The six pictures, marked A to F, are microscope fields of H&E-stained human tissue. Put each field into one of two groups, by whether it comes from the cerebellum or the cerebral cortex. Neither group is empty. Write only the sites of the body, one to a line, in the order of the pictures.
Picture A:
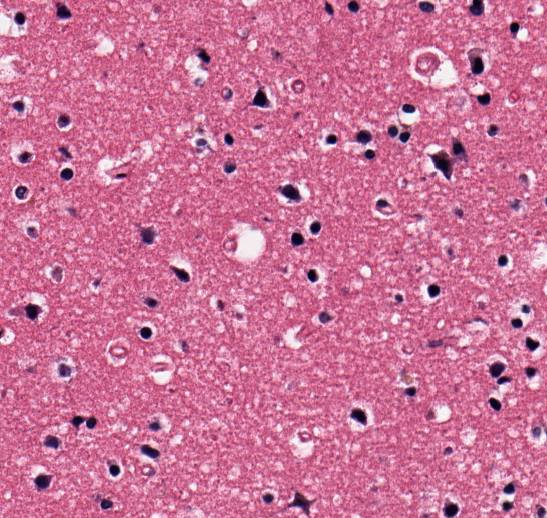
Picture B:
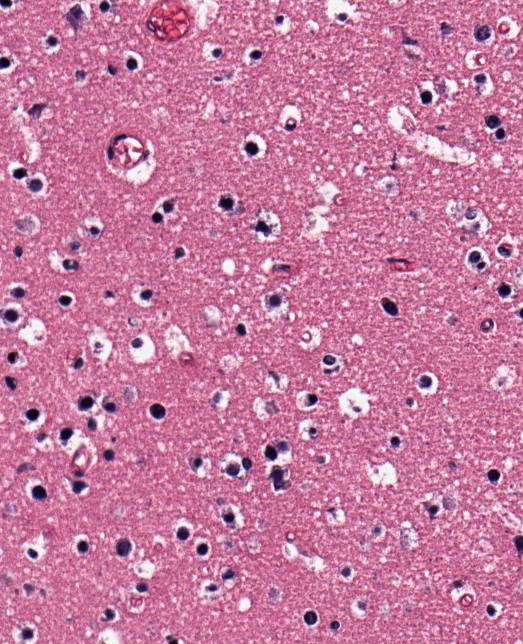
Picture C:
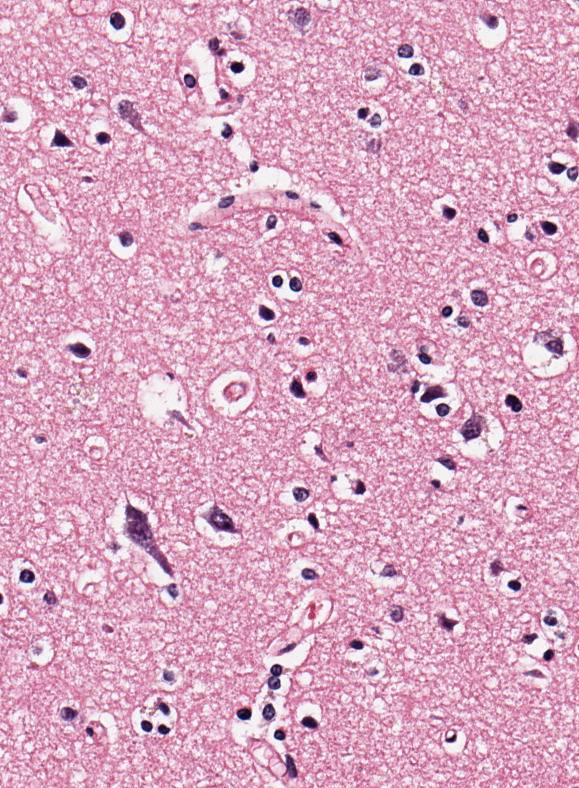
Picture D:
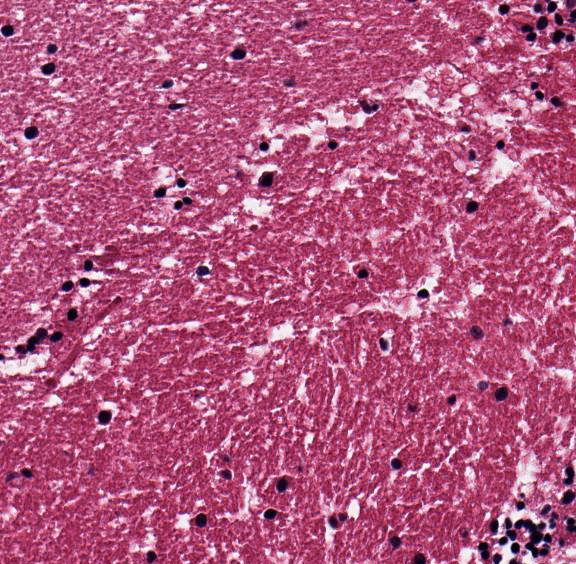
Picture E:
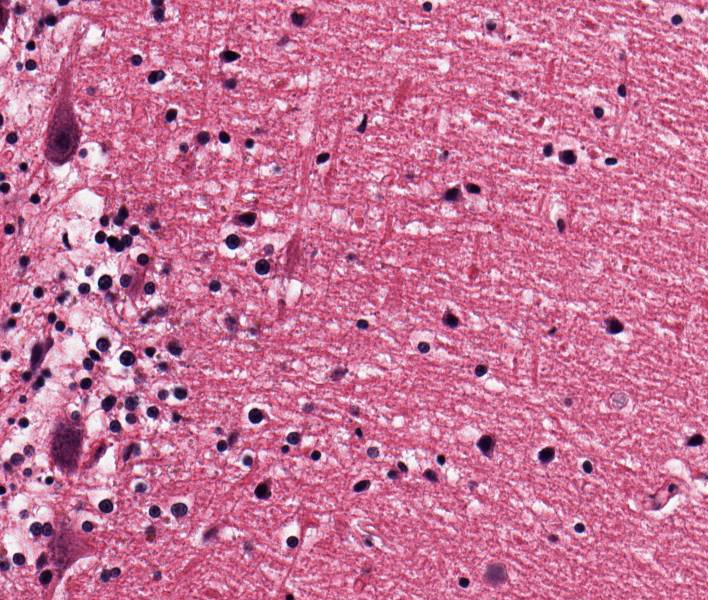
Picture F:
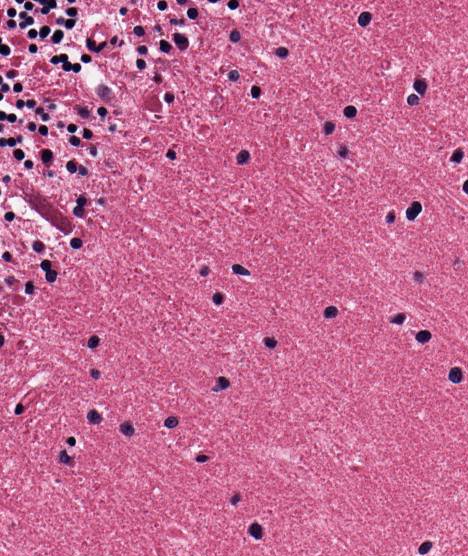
cerebral cortex
cerebral cortex
cerebral cortex
cerebellum
cerebellum
cerebellum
